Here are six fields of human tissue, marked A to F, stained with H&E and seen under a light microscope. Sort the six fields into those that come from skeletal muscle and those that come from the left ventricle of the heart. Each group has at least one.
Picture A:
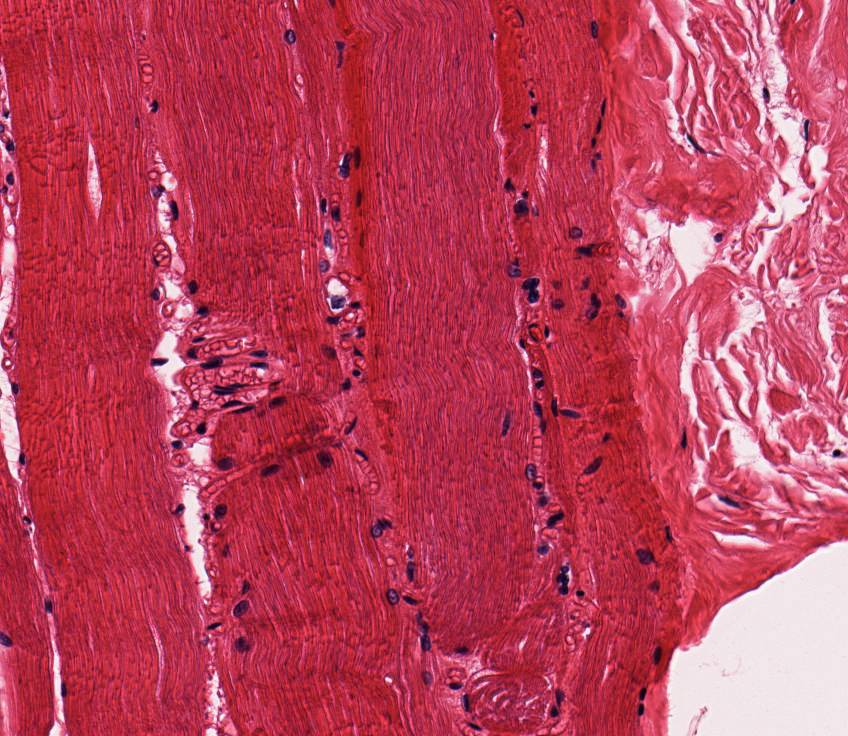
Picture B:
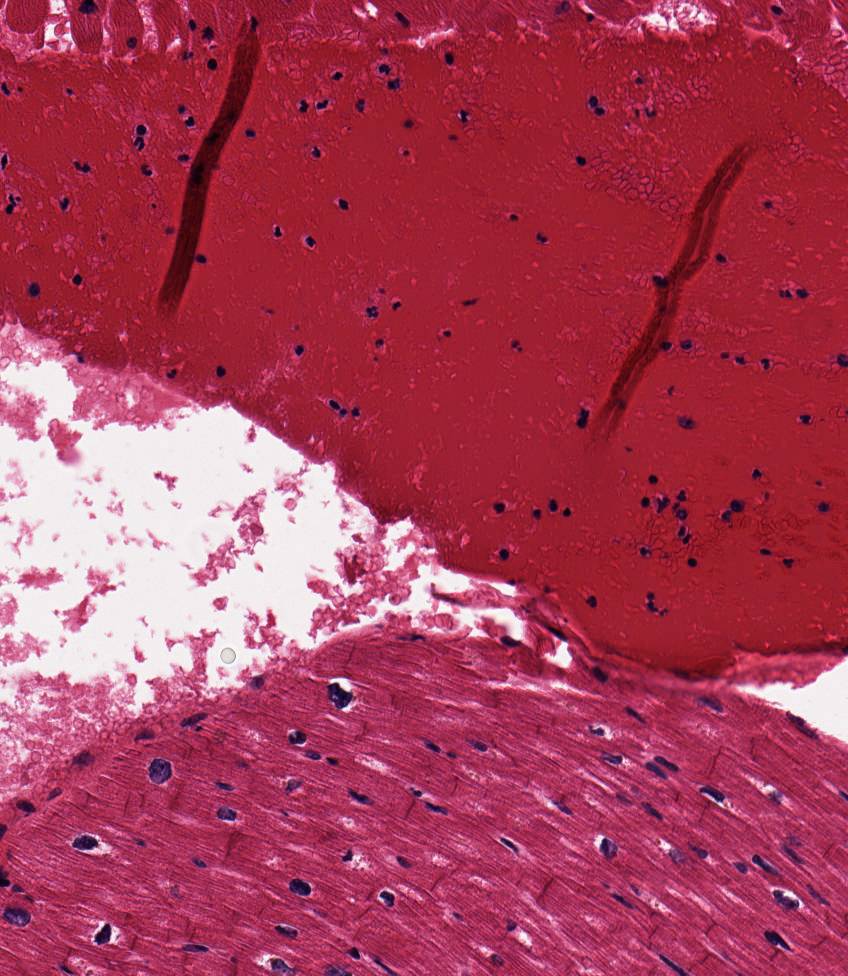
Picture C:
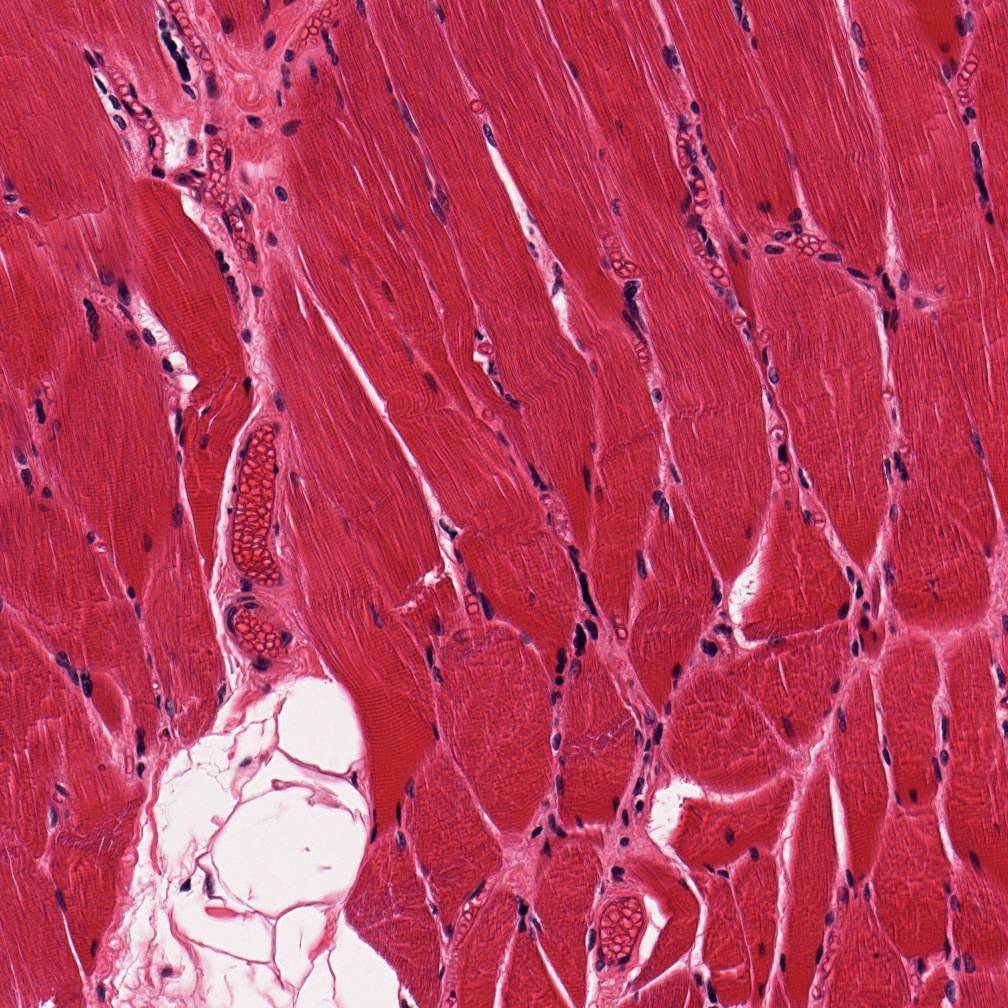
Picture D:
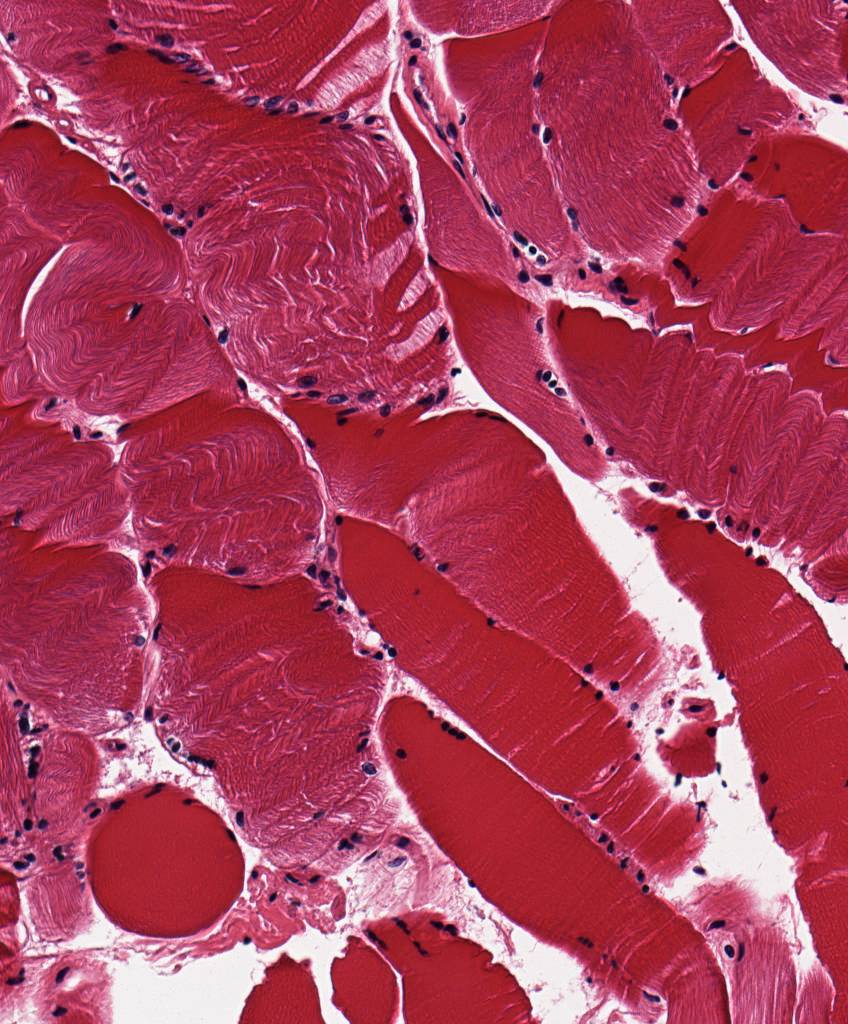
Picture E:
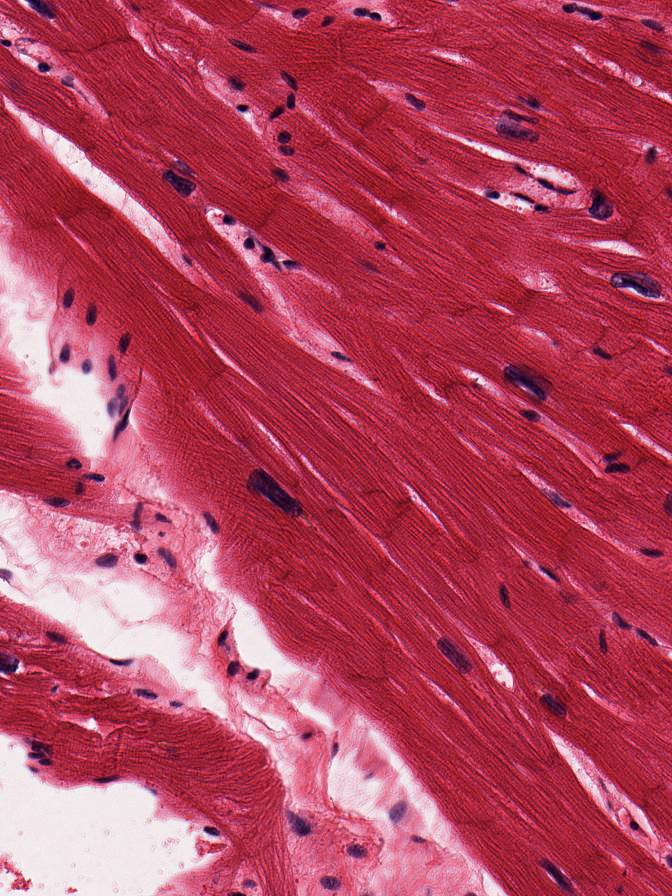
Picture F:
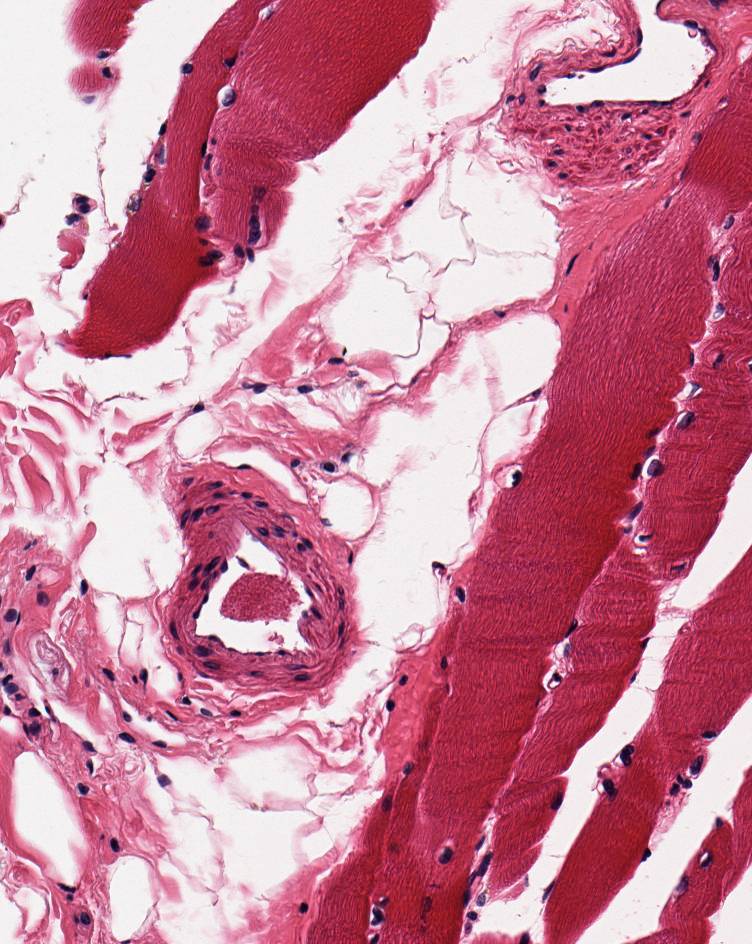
A: skeletal muscle
B: left ventricle of the heart
C: skeletal muscle
D: skeletal muscle
E: left ventricle of the heart
F: skeletal muscle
